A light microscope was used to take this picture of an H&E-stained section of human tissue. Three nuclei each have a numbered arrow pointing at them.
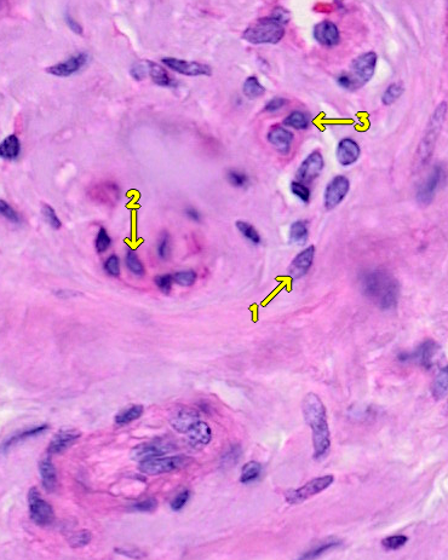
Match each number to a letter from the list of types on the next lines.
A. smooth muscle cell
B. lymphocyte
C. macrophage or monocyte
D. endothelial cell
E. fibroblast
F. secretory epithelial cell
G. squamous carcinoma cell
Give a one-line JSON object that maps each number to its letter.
{"1": "E", "2": "A", "3": "D"}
